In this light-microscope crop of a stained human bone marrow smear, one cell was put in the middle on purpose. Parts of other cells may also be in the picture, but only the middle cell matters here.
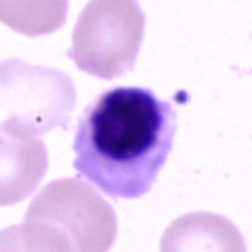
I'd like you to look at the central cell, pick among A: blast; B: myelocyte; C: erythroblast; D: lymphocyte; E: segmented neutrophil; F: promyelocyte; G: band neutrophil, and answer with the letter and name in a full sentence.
What sits in the middle of the crop is an erythroblast, and option C is correct.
